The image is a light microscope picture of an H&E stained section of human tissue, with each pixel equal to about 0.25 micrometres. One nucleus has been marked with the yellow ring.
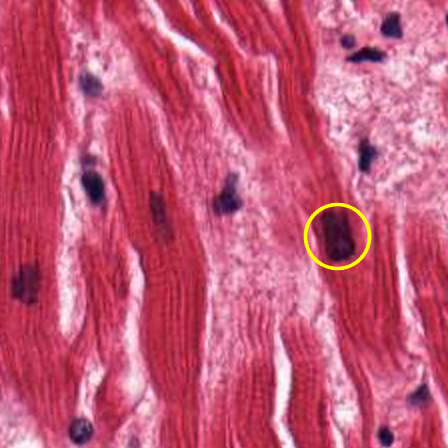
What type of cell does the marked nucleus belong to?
cardiomyocyte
